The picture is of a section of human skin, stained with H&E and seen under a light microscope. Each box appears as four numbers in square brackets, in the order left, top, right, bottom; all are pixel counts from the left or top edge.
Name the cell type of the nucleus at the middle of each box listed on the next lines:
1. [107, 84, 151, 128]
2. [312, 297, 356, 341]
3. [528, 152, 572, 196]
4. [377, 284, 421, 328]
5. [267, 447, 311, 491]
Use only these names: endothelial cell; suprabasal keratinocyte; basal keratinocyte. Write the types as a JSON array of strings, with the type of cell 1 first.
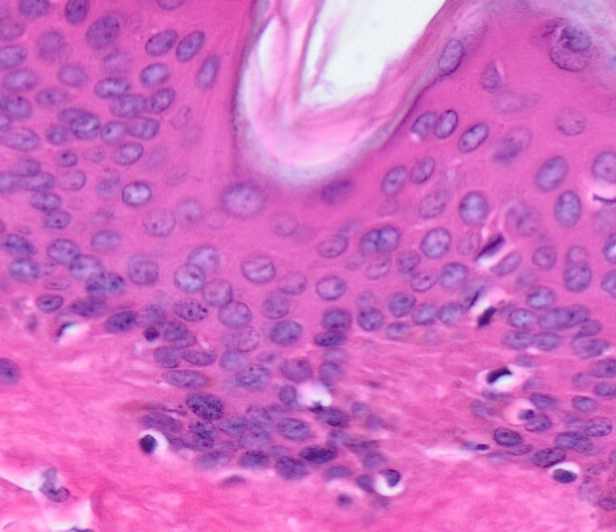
["suprabasal keratinocyte", "basal keratinocyte", "suprabasal keratinocyte", "basal keratinocyte", "basal keratinocyte"]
